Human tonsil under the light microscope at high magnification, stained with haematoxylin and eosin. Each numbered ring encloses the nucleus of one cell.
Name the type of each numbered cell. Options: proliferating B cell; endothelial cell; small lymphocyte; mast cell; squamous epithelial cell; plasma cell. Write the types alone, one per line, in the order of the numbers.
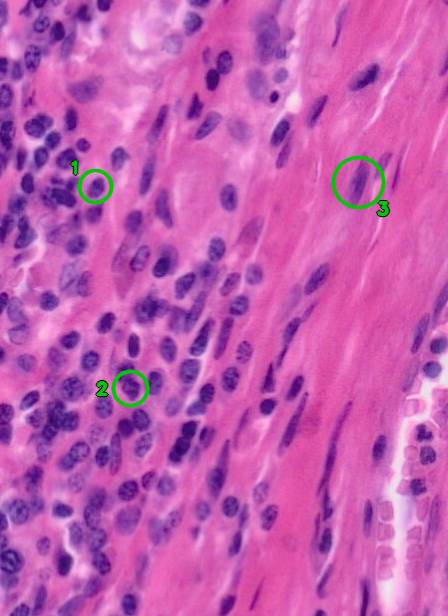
mast cell
plasma cell
endothelial cell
